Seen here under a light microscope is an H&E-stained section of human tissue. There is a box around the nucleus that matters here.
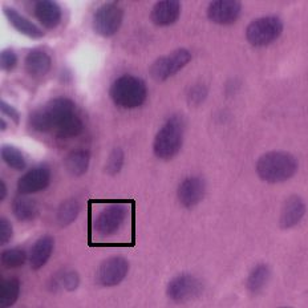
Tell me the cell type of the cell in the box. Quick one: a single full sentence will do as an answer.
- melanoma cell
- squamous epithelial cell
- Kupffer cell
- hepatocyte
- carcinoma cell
As far as its identity is concerned, the cell in the box is a squamous epithelial cell.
